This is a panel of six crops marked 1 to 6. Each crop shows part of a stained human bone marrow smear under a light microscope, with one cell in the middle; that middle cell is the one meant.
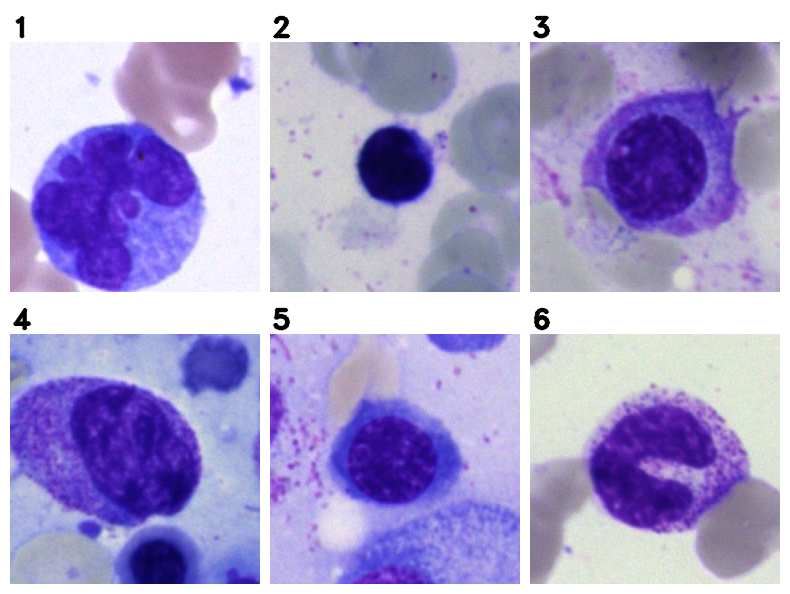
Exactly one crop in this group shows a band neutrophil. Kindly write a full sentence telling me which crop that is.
The cell at the center of crop 6 is the one that is a band neutrophil.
